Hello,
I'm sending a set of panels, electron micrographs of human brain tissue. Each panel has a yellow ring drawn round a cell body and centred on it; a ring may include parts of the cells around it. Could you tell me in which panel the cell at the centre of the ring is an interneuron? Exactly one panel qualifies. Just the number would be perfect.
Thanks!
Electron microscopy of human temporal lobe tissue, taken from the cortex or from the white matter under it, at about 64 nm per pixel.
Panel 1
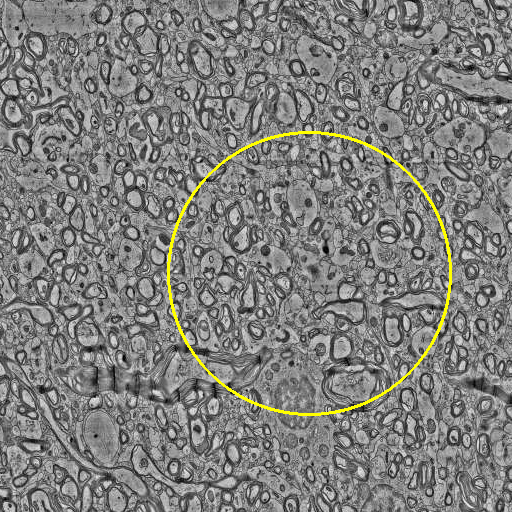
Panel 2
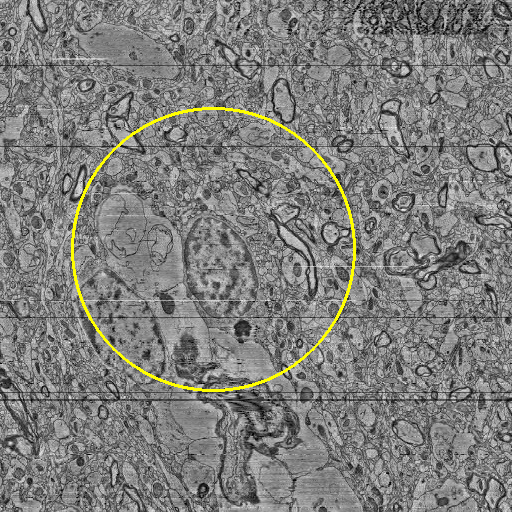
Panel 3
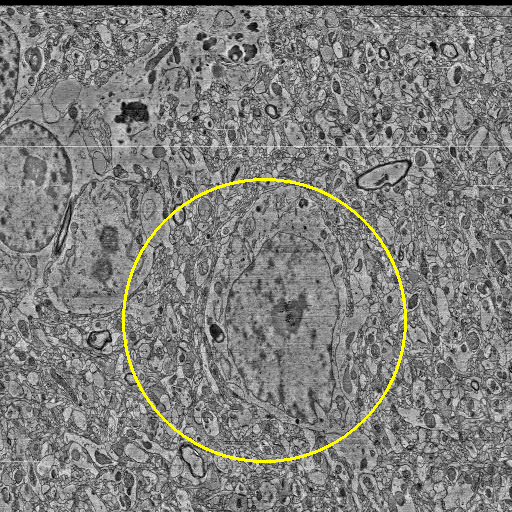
3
